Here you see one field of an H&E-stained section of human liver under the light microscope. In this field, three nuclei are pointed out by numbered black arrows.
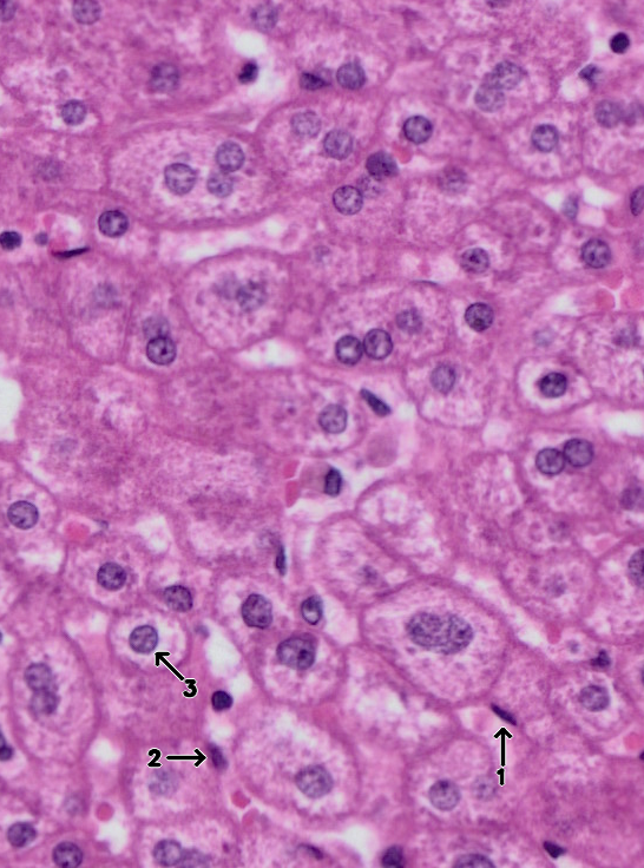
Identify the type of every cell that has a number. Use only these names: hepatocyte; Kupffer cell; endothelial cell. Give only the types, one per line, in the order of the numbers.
endothelial cell
endothelial cell
hepatocyte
